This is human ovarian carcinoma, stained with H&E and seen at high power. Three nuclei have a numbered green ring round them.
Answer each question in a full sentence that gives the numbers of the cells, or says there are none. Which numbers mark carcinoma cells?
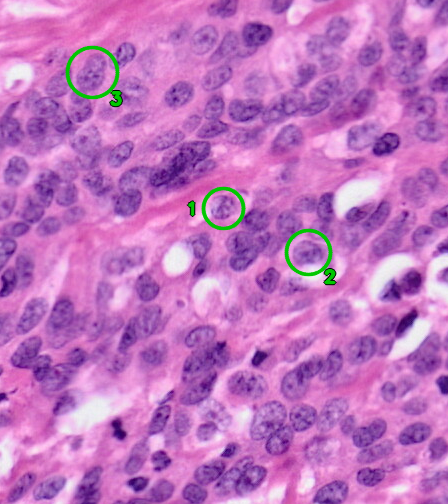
Among all the marked cells, a carcinoma cell is found only at number 3.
